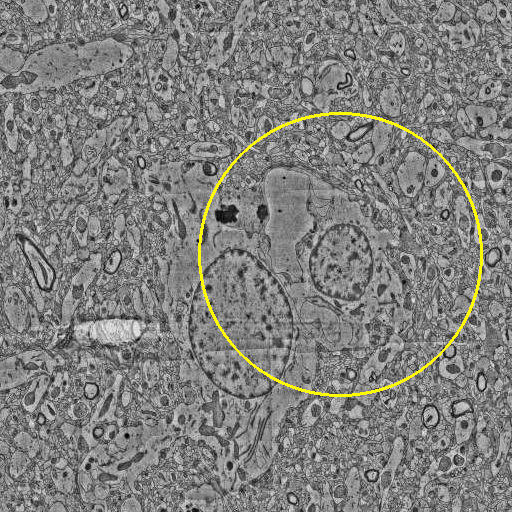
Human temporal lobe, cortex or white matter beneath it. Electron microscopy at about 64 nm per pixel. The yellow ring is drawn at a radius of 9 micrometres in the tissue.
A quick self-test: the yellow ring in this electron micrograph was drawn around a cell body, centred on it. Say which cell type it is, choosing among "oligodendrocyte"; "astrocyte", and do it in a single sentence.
The yellow-ringed cell is an astrocyte.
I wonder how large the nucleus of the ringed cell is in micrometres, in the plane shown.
The nucleus appears roughly 5 by 4 micrometres in this plane.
